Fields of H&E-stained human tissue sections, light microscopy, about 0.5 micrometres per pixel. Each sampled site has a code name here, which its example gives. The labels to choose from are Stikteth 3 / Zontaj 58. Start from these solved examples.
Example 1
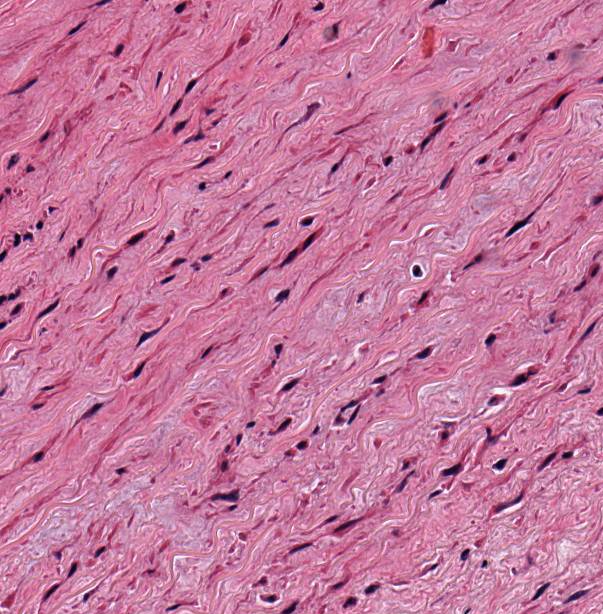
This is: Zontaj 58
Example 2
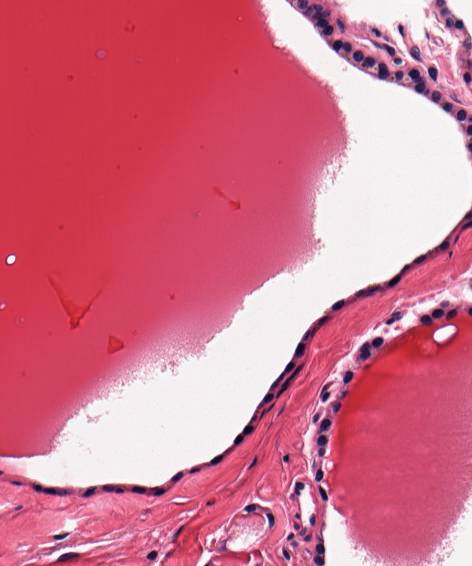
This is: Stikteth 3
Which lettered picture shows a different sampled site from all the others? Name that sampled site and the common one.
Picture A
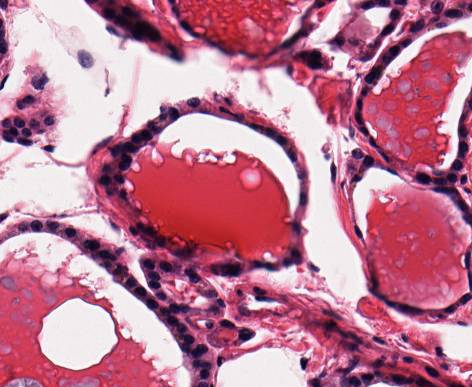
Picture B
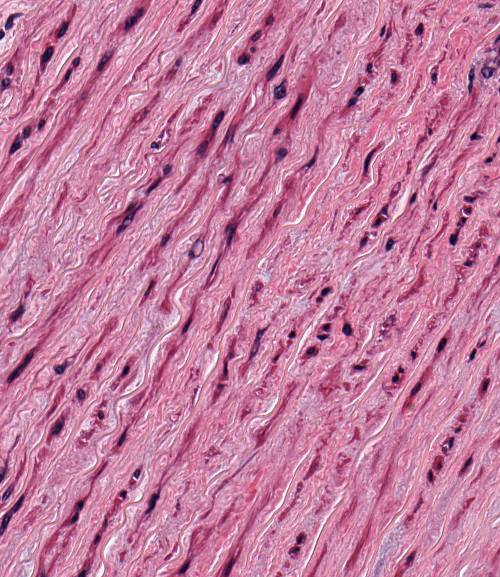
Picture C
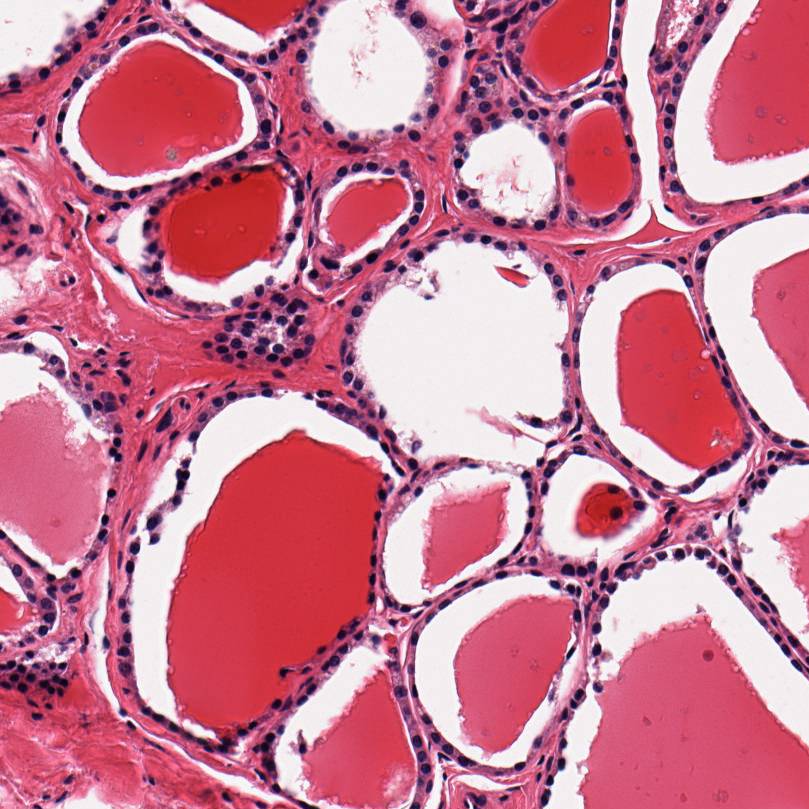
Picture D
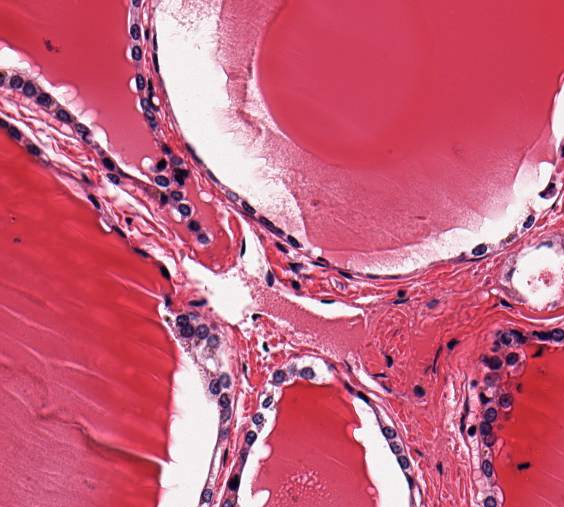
B: Zontaj 58; all the others: Stikteth 3.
